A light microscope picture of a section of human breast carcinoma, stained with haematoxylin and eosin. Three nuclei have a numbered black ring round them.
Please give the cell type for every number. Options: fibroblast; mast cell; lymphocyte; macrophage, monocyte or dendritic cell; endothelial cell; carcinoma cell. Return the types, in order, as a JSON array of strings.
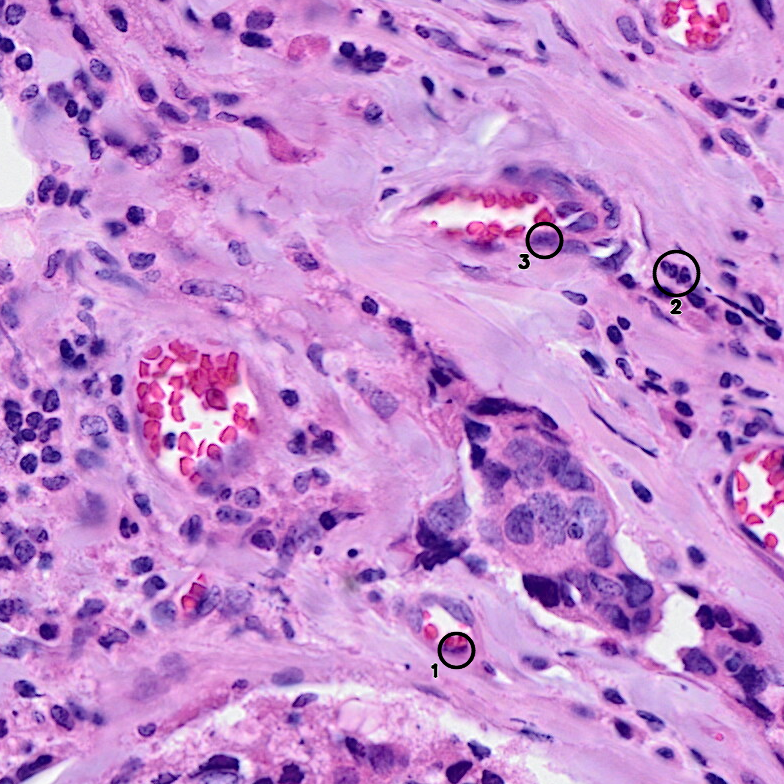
["endothelial cell", "lymphocyte", "endothelial cell"]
